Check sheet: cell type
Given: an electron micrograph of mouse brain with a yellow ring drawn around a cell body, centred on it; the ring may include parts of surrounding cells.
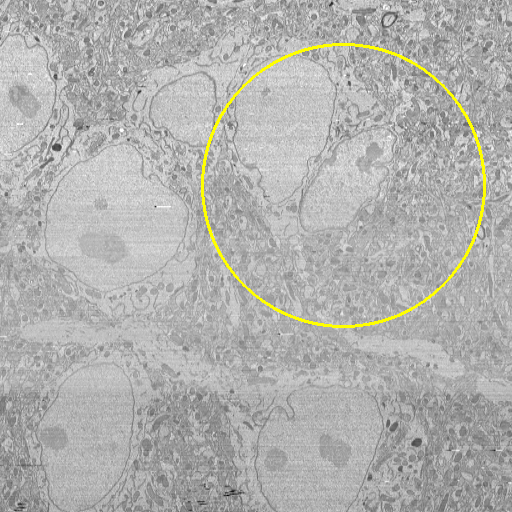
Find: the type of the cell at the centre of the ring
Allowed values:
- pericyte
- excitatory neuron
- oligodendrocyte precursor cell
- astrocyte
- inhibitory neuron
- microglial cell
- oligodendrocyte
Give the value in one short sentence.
Here the ringed cell is an oligodendrocyte precursor cell.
